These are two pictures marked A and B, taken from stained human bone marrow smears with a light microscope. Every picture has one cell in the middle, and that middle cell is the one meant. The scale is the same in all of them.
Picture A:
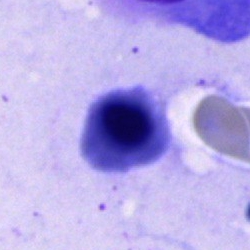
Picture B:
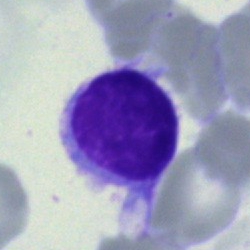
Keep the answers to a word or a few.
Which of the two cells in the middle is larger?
B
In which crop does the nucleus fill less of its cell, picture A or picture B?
A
